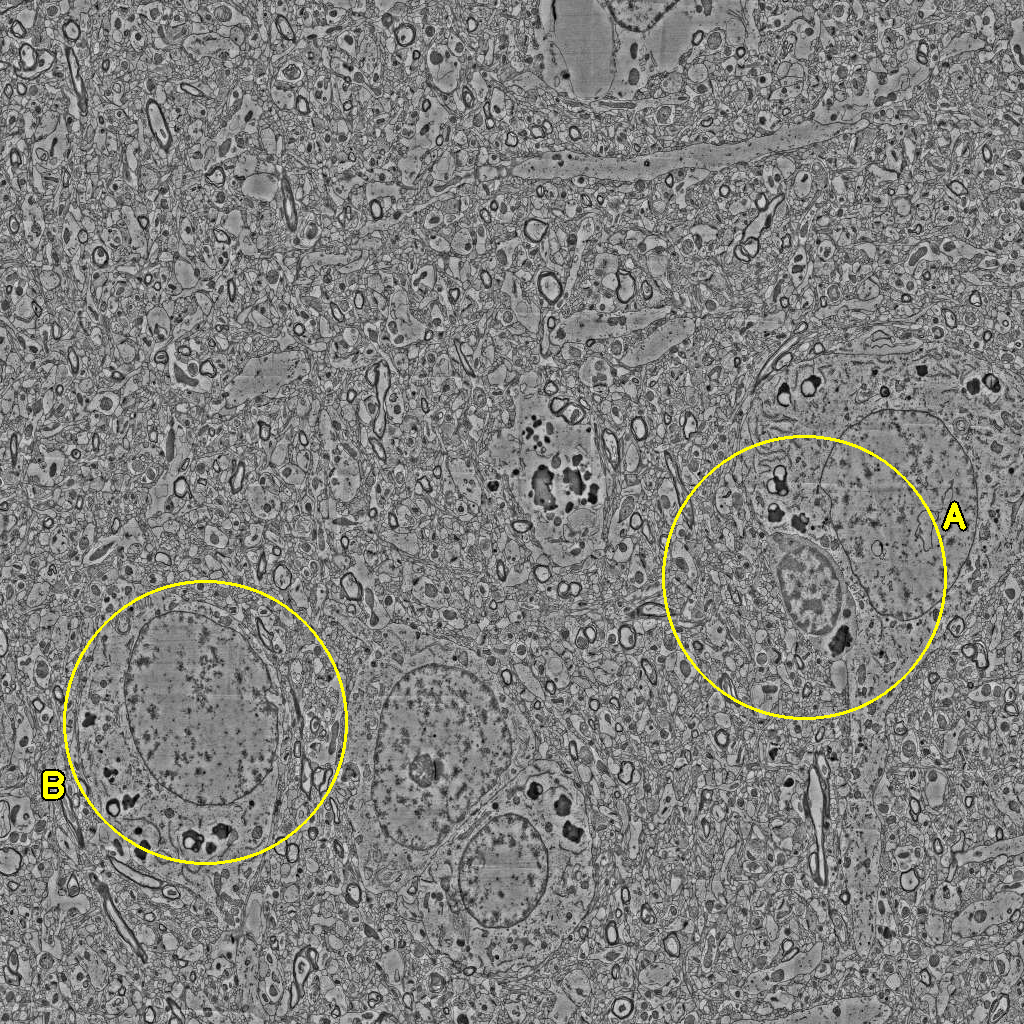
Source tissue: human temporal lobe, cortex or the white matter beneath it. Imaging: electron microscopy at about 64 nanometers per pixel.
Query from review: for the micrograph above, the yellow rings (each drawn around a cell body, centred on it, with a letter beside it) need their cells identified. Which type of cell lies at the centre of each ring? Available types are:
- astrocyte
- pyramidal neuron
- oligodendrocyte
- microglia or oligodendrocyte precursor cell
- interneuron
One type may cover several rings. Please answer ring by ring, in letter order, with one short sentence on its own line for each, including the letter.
Ring A is drawn around an oligodendrocyte.
Ring B is drawn around a pyramidal neuron.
